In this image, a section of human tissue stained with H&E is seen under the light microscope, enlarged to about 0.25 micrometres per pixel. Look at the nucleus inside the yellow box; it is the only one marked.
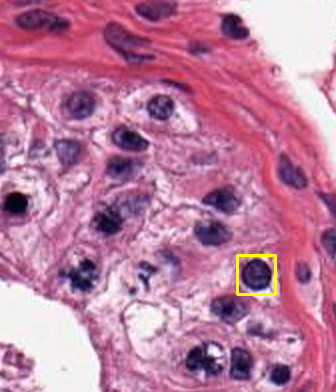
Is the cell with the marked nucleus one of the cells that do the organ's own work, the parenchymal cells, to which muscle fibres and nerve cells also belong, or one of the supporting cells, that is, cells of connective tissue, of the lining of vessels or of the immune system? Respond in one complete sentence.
The marked nucleus forms part of a parenchymal cell, namely a spermatogonium.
